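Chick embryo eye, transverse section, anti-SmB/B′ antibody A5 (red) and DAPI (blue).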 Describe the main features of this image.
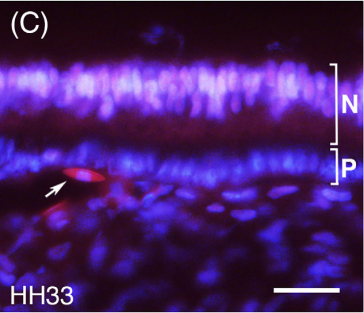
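The retinal neuroepithelium forms a thick band of tightly packed, elongated nuclei that appear pinkish-violet, resting on a thin pigment cell layer. Below lies looser periocular mesenchyme with scattered, elongated blue nuclei. One mesenchyme cell just under the pigment layer stands out with bright red around its nucleus.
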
